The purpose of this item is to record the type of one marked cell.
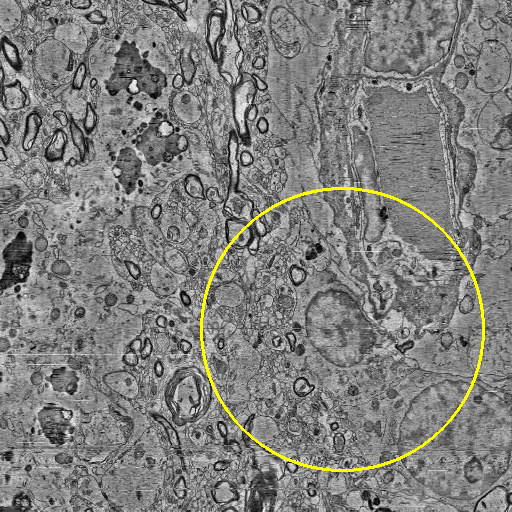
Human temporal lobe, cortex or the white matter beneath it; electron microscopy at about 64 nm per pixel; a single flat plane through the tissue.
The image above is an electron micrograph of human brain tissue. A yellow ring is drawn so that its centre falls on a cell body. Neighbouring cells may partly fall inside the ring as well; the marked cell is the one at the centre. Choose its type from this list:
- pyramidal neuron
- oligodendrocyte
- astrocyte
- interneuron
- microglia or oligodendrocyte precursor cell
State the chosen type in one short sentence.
What the ring marks here is an oligodendrocyte.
